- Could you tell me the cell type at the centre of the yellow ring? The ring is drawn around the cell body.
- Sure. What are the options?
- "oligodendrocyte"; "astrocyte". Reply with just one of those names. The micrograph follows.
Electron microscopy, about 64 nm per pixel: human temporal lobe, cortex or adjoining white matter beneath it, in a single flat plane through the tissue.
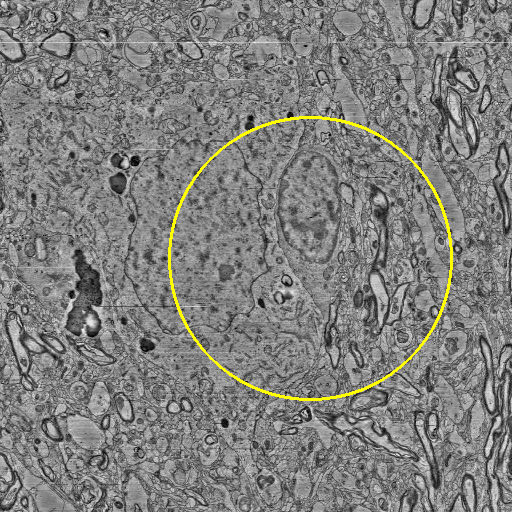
oligodendrocyte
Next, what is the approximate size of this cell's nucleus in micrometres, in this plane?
In this plane the nucleus measures about 7 by 4 micrometres and is clearly longer than it is wide.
